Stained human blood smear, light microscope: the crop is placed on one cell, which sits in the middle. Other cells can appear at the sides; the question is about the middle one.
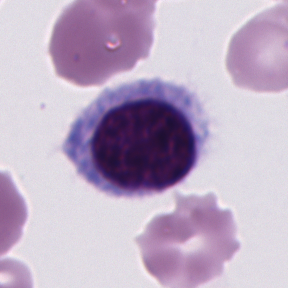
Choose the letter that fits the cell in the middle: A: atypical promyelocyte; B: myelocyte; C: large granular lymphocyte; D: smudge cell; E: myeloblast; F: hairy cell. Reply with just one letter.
F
